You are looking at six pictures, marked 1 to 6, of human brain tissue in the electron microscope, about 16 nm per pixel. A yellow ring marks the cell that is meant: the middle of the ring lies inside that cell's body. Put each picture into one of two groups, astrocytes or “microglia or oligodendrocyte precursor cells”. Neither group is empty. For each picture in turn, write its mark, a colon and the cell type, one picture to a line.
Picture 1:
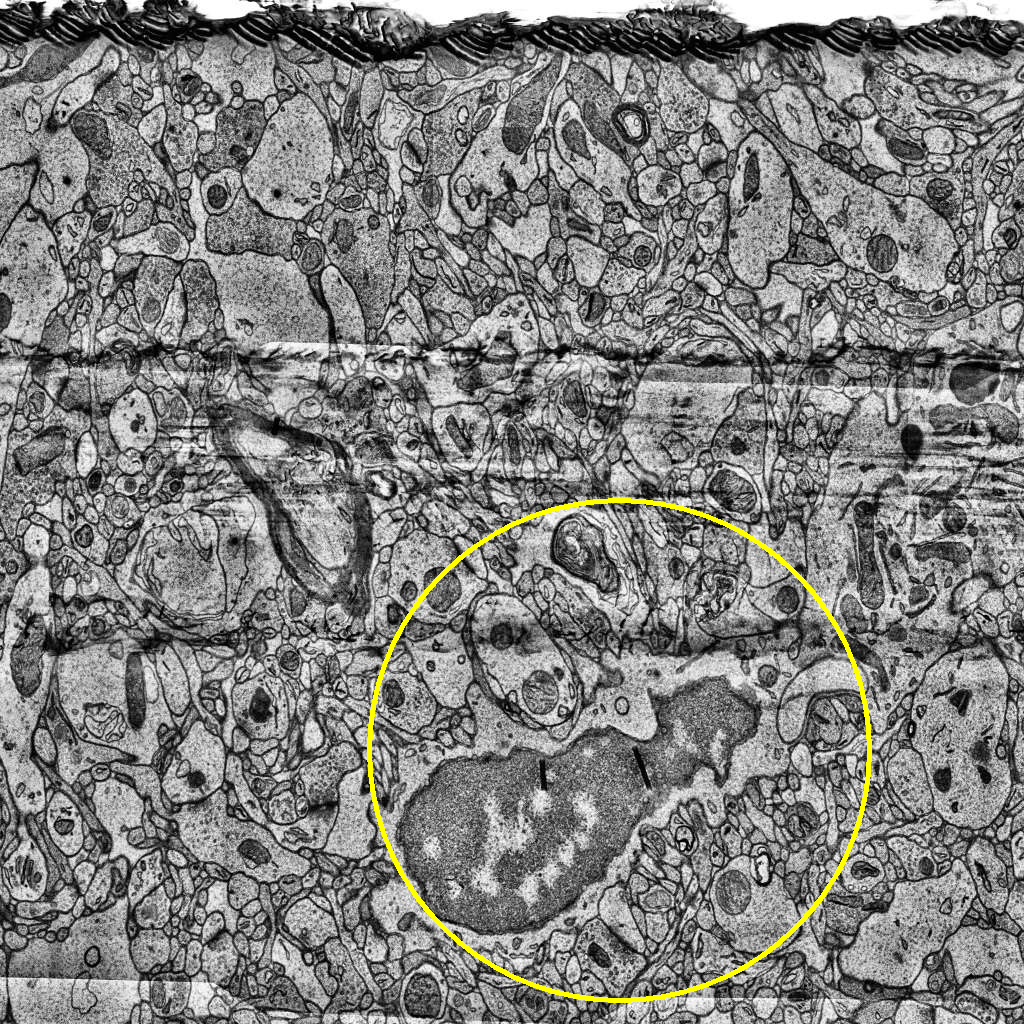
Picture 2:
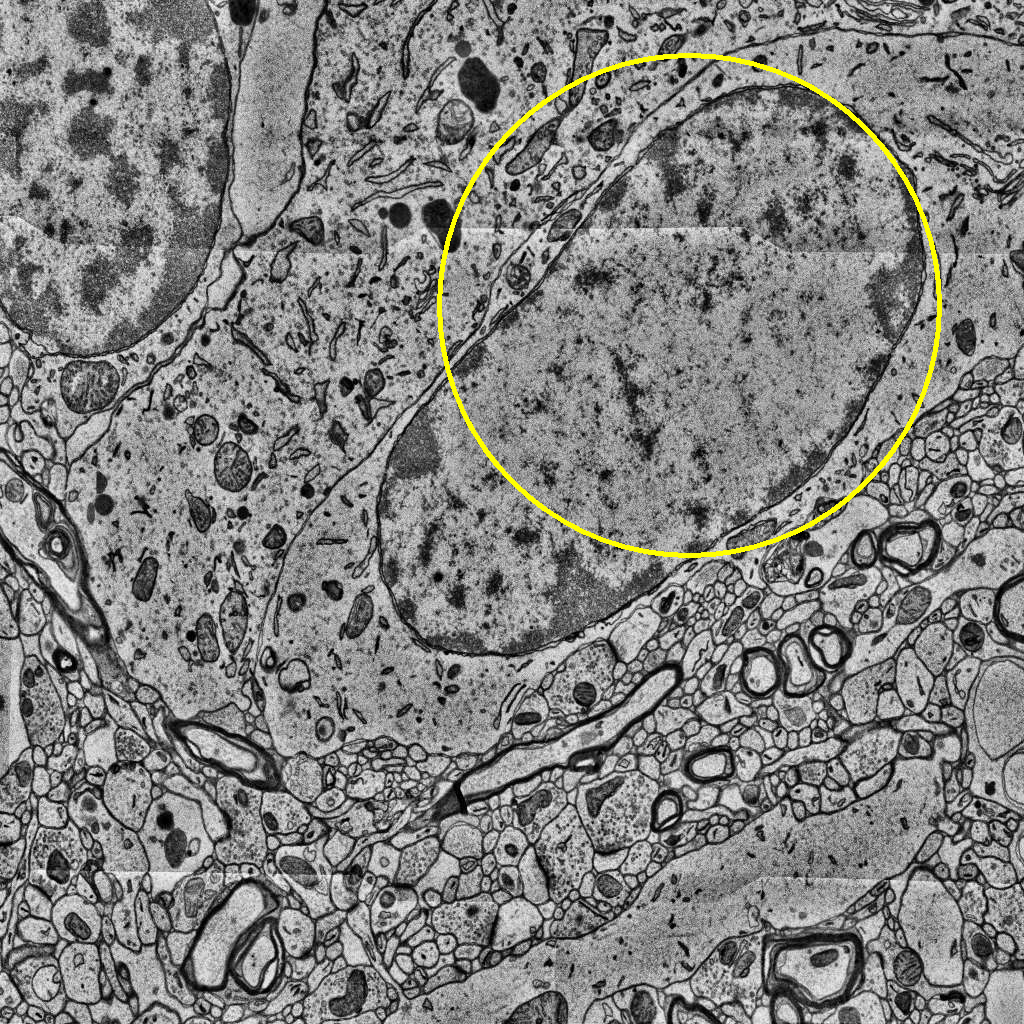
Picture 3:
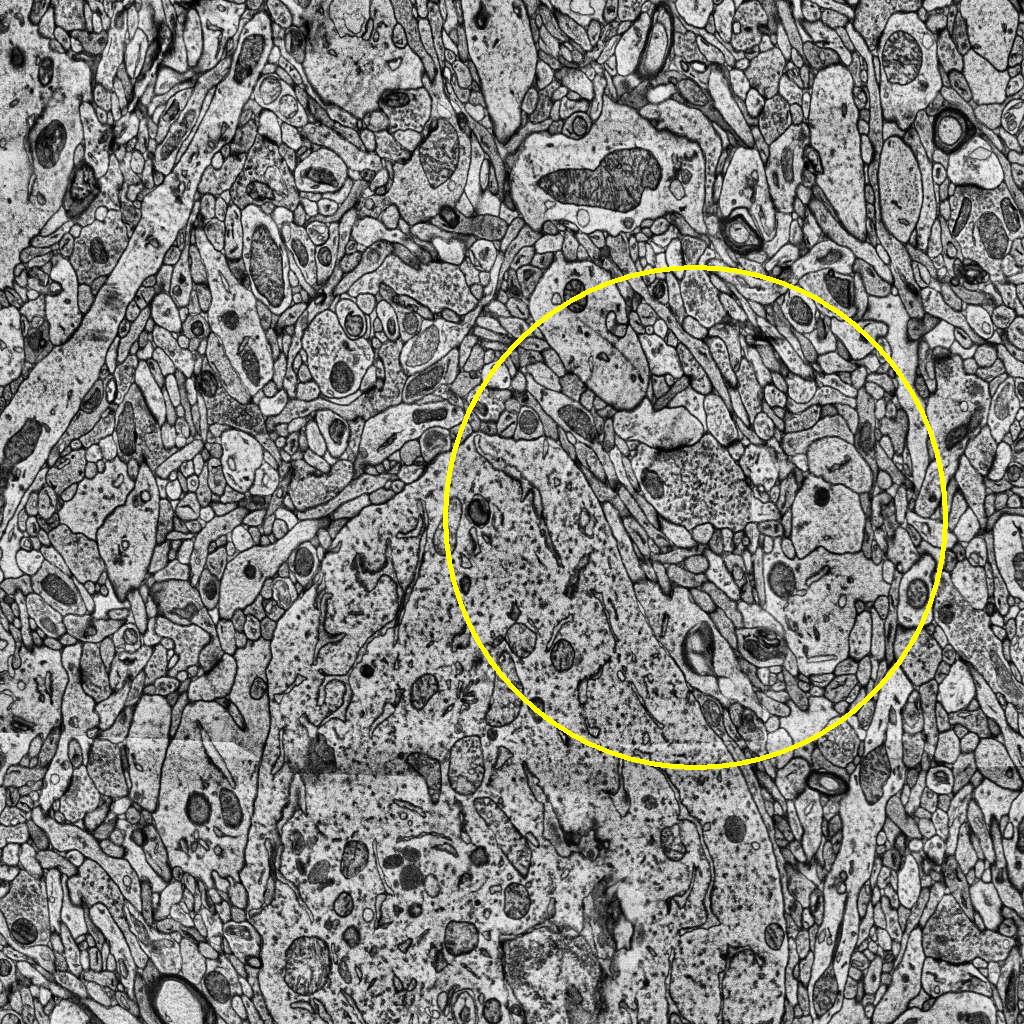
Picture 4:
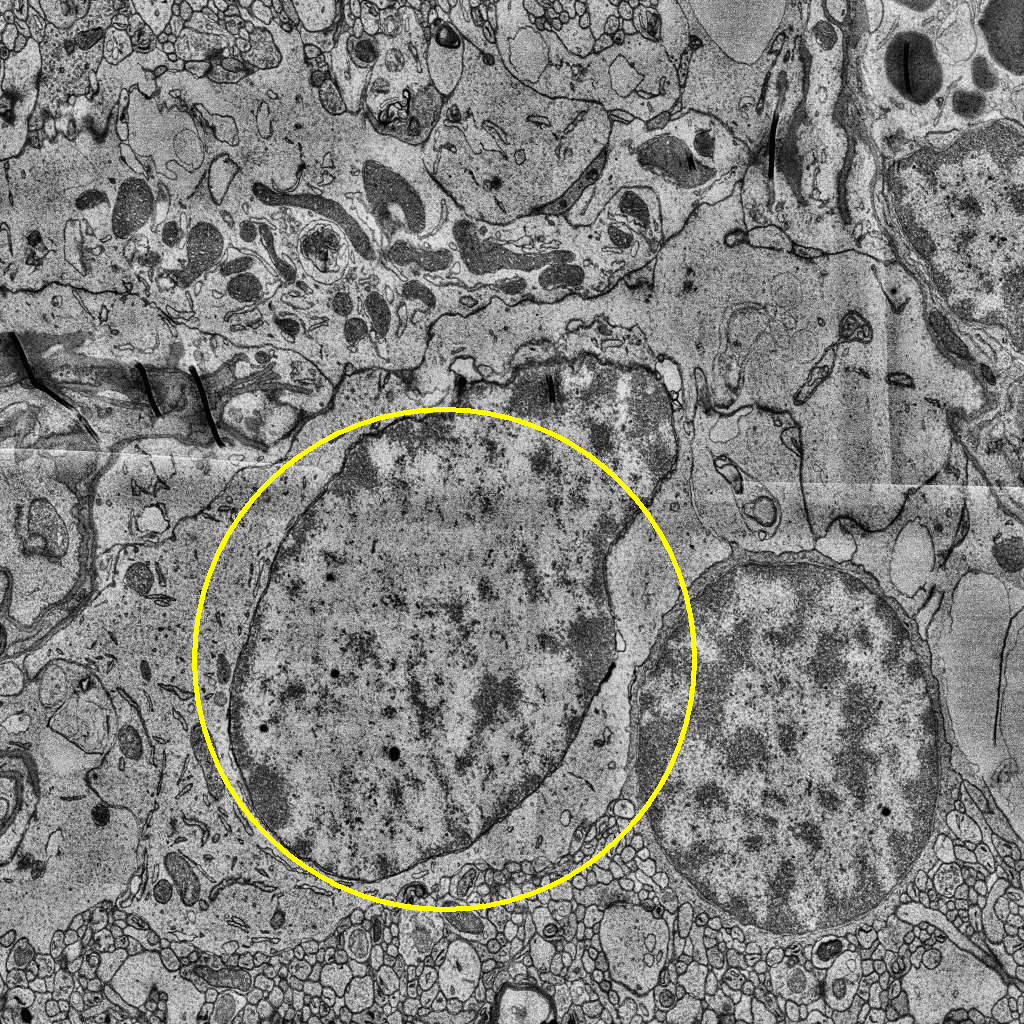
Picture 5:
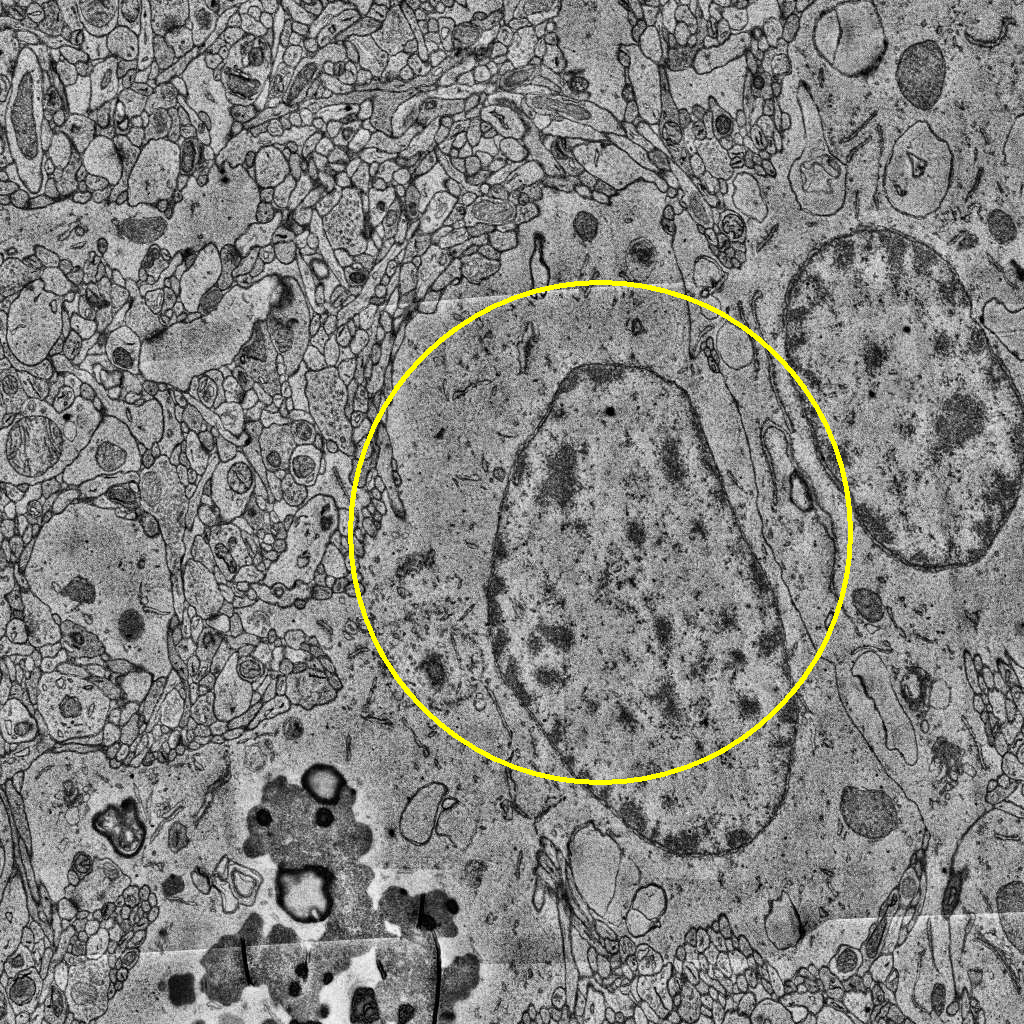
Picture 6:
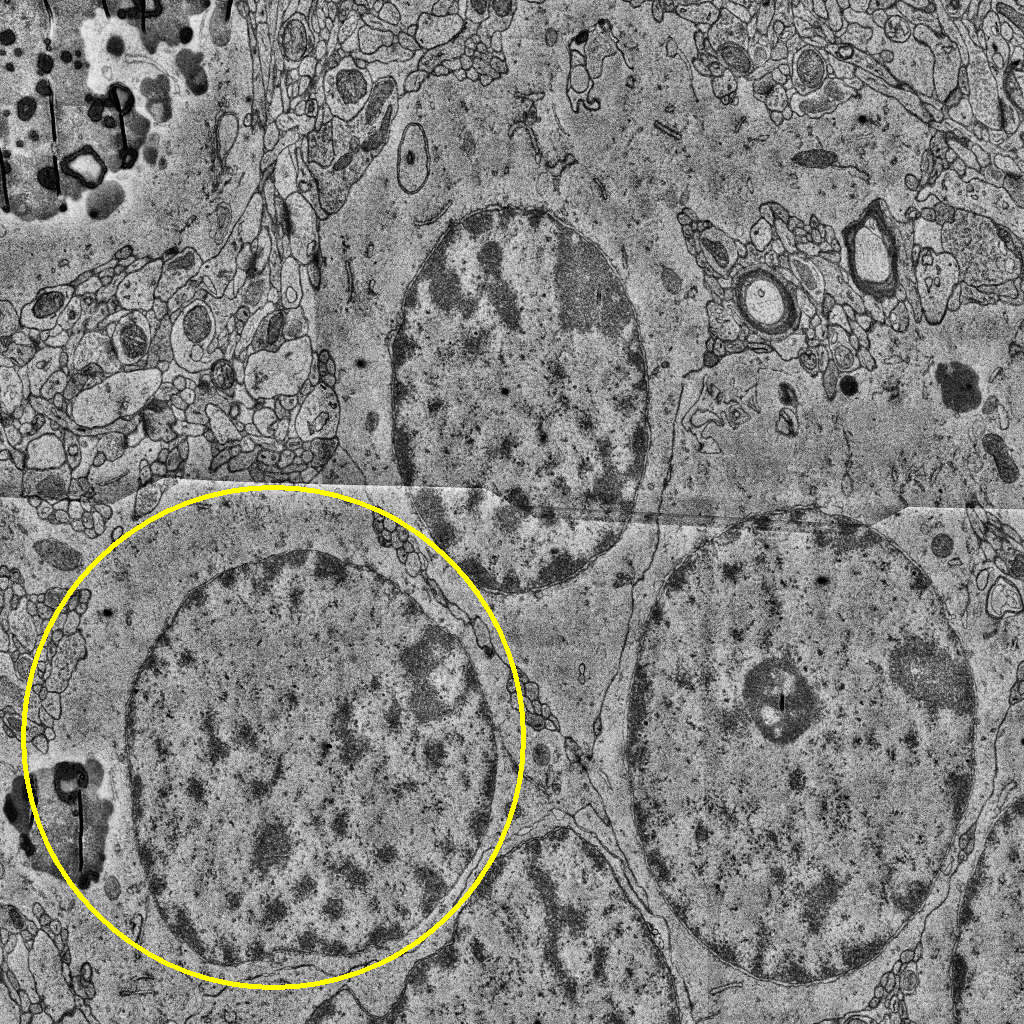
1: microglia or oligodendrocyte precursor cell
2: microglia or oligodendrocyte precursor cell
3: microglia or oligodendrocyte precursor cell
4: microglia or oligodendrocyte precursor cell
5: astrocyte
6: astrocyte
